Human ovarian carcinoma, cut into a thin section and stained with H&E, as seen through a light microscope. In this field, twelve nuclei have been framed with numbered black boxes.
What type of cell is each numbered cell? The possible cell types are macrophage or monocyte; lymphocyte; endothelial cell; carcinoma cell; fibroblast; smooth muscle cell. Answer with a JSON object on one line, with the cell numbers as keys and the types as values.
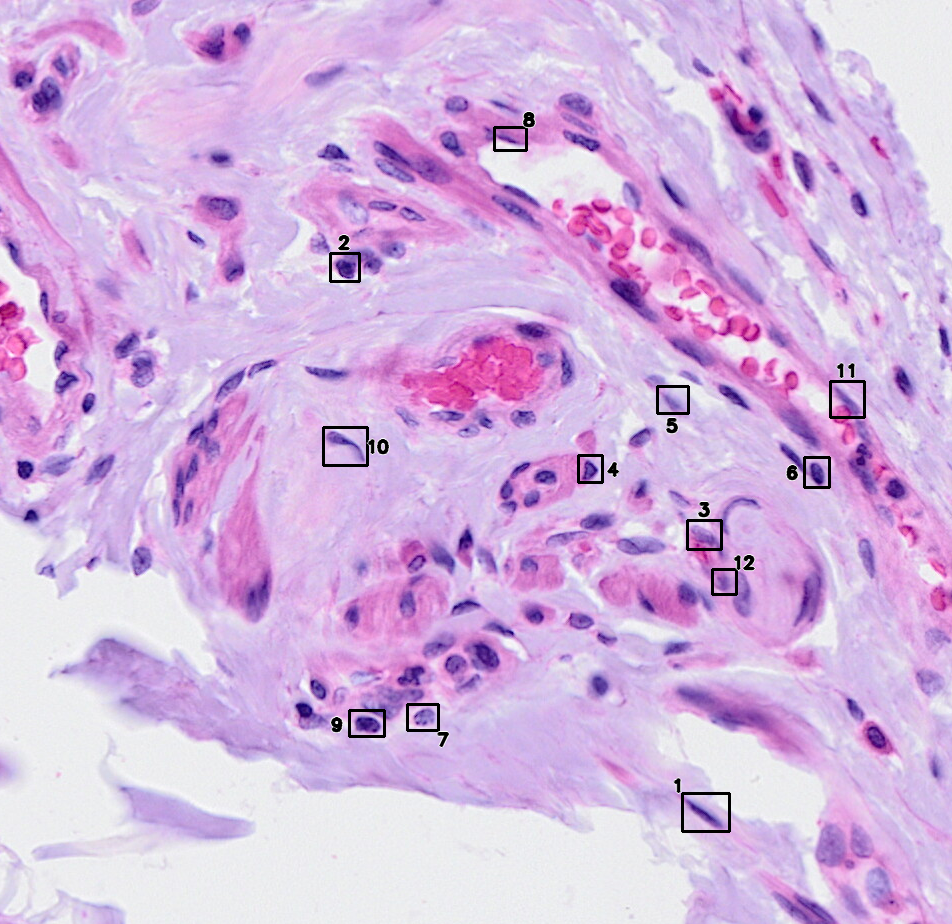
{"1": "fibroblast", "2": "lymphocyte", "3": "endothelial cell", "4": "smooth muscle cell", "5": "fibroblast", "6": "lymphocyte", "7": "lymphocyte", "8": "endothelial cell", "9": "lymphocyte", "10": "fibroblast", "11": "endothelial cell", "12": "endothelial cell"}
